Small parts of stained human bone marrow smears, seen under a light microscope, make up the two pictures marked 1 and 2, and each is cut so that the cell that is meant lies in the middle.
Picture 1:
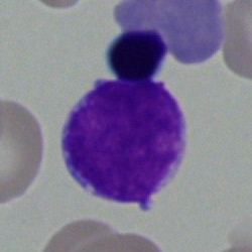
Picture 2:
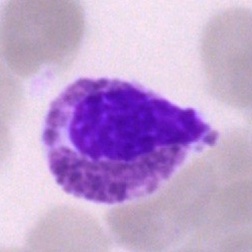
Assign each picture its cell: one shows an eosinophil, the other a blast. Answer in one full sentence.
It is picture 1 that shows a blast, and picture 2 that shows an eosinophil.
